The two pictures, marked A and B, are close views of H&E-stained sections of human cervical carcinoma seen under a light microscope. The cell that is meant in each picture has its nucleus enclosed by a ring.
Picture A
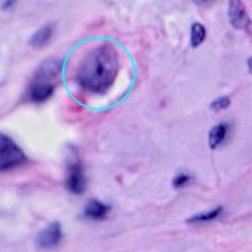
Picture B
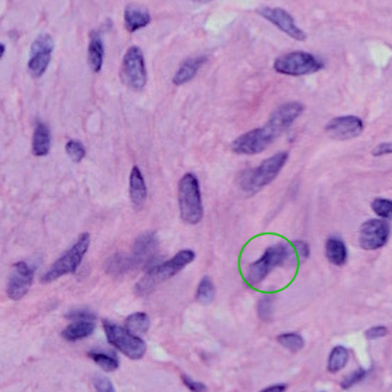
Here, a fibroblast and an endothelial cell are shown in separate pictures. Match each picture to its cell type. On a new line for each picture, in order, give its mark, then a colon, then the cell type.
A: endothelial cell
B: fibroblast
